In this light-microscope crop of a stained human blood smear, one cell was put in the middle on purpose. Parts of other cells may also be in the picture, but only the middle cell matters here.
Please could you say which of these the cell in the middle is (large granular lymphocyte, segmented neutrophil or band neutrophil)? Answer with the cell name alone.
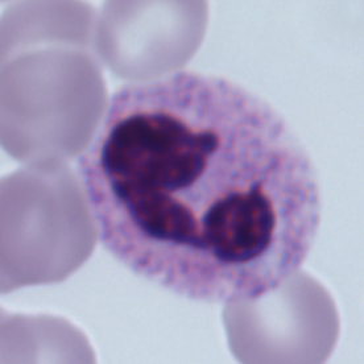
segmented neutrophil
